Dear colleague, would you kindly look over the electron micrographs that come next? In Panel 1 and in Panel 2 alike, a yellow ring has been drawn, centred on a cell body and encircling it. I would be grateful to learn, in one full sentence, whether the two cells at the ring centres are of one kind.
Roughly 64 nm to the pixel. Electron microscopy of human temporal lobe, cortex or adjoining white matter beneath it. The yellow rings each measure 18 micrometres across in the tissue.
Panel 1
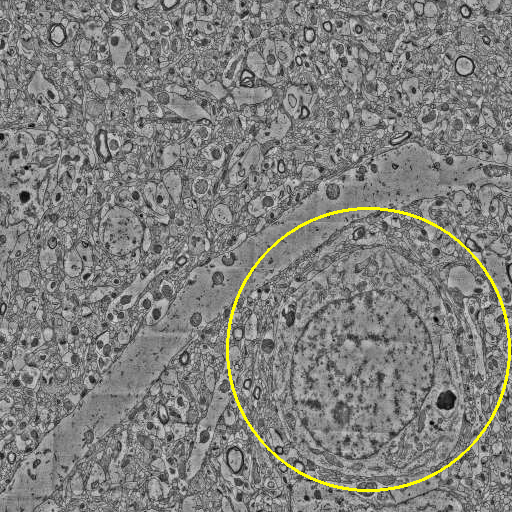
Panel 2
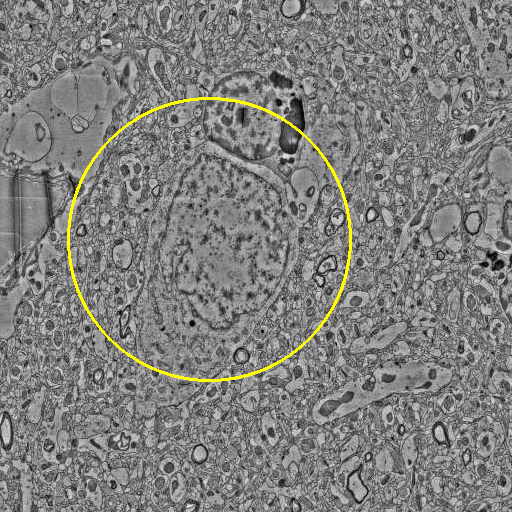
Yes, the cells in the middle of the rings in the two panels are of one kind.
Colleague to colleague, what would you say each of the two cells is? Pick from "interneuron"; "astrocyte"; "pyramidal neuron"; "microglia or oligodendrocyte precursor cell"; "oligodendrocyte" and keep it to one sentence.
In each of the two pictures, the ringed cell is an interneuron.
